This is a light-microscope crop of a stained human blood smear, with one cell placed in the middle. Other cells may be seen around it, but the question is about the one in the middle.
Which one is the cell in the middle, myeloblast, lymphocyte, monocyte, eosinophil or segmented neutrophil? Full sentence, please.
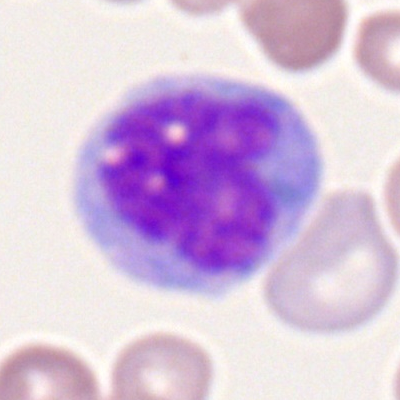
The identification for the central cell is a monocyte.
